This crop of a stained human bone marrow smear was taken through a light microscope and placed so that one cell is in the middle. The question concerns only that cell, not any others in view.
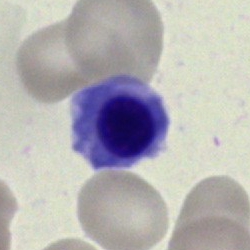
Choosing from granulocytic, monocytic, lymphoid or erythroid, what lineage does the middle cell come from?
erythroid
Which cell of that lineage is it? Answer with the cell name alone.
erythroblast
